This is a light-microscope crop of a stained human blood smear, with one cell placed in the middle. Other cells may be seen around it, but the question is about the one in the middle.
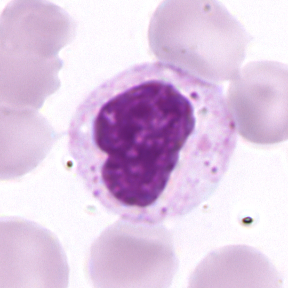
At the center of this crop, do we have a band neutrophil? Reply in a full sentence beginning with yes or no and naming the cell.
Yes, the cell shown centrally is a band neutrophil.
